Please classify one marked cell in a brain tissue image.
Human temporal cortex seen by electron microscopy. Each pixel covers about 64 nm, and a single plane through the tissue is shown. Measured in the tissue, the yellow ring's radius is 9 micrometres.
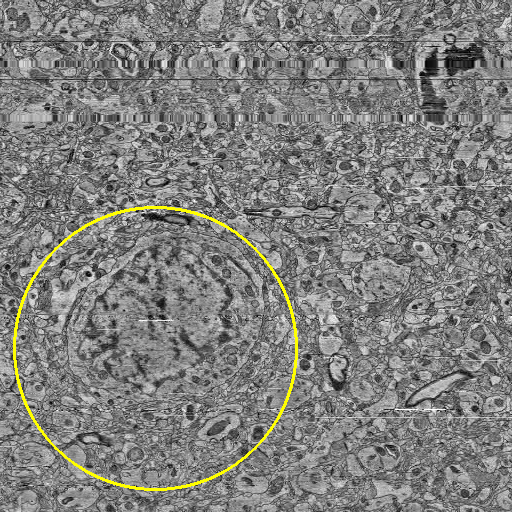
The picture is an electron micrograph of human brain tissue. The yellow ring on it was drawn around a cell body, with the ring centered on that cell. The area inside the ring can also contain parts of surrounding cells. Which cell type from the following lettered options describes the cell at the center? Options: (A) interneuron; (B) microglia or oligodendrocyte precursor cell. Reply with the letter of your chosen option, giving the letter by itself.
A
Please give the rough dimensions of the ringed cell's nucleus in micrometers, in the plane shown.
About 9 micrometres across, as seen in this plane.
